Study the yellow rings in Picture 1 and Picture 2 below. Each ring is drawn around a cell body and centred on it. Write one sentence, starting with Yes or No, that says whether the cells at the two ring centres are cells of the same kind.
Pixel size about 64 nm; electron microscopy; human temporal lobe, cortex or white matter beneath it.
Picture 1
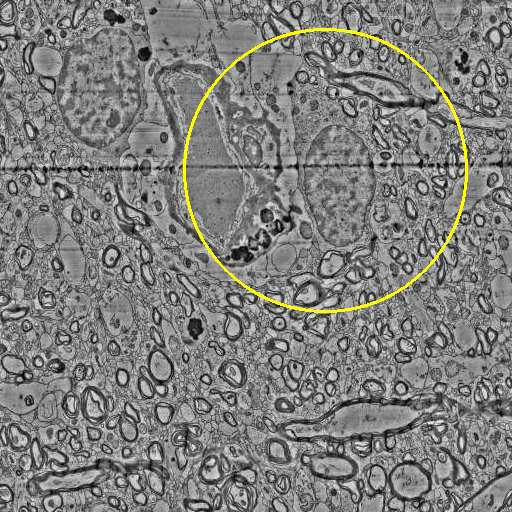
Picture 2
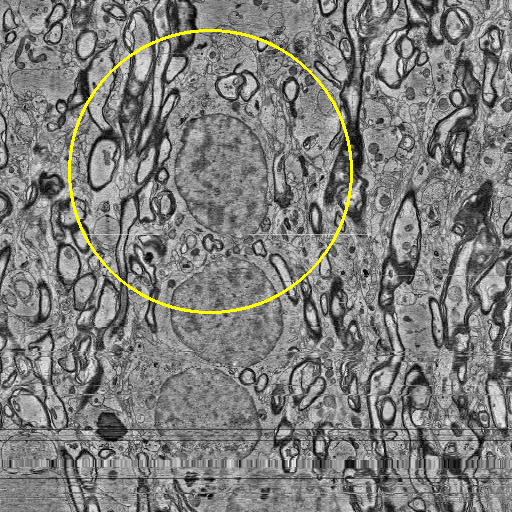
Yes, the cells at both ring centres are of the same kind.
